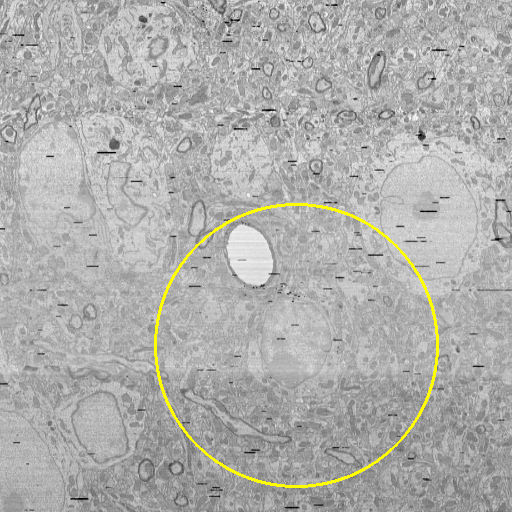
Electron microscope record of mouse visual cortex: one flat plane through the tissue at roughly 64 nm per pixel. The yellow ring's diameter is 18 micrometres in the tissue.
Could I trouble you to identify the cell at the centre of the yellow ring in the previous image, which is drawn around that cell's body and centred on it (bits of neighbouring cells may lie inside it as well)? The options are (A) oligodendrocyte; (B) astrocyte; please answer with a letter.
A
